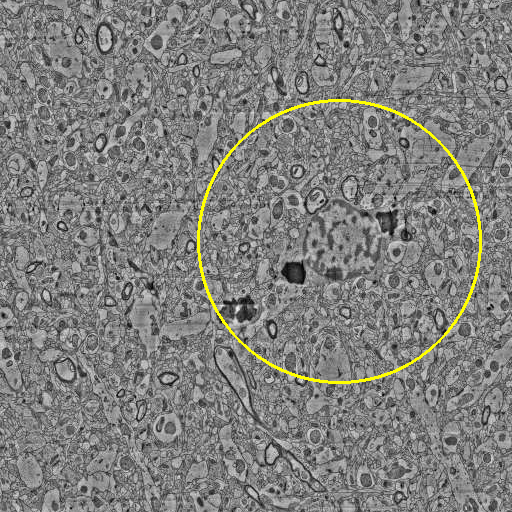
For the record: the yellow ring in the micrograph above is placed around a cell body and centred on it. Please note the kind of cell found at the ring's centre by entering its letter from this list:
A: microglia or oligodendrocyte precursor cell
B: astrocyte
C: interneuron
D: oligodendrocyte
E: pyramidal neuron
D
